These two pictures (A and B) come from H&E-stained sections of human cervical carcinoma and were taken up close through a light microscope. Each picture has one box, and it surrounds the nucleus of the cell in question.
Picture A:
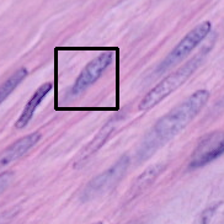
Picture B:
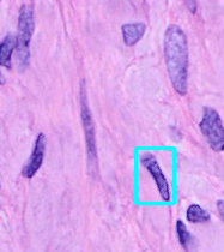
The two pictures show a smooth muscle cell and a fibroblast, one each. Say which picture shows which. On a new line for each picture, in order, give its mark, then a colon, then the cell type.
A: smooth muscle cell
B: fibroblast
